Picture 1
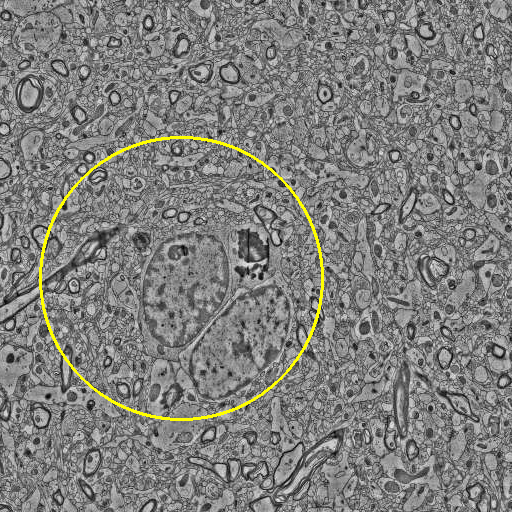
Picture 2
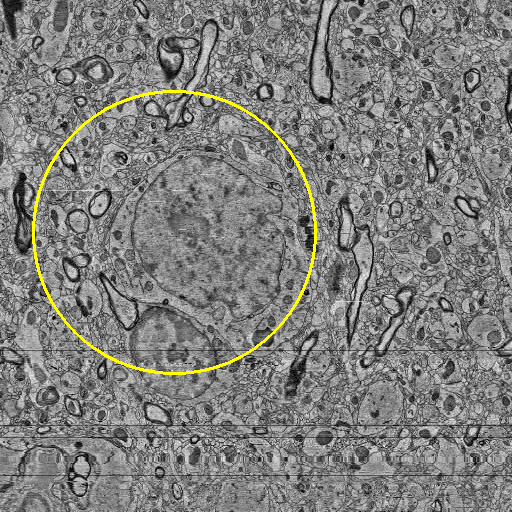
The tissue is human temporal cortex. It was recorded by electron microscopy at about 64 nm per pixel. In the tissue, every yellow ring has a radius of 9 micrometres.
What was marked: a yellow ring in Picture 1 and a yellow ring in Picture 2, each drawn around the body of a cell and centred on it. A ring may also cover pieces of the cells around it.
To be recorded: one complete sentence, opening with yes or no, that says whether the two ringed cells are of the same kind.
No, the two ringed cells are of two kinds.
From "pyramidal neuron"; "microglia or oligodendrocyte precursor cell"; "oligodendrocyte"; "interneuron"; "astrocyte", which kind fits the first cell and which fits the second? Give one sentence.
The cell marked in the first picture is an oligodendrocyte, and the one marked in the second is an interneuron.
